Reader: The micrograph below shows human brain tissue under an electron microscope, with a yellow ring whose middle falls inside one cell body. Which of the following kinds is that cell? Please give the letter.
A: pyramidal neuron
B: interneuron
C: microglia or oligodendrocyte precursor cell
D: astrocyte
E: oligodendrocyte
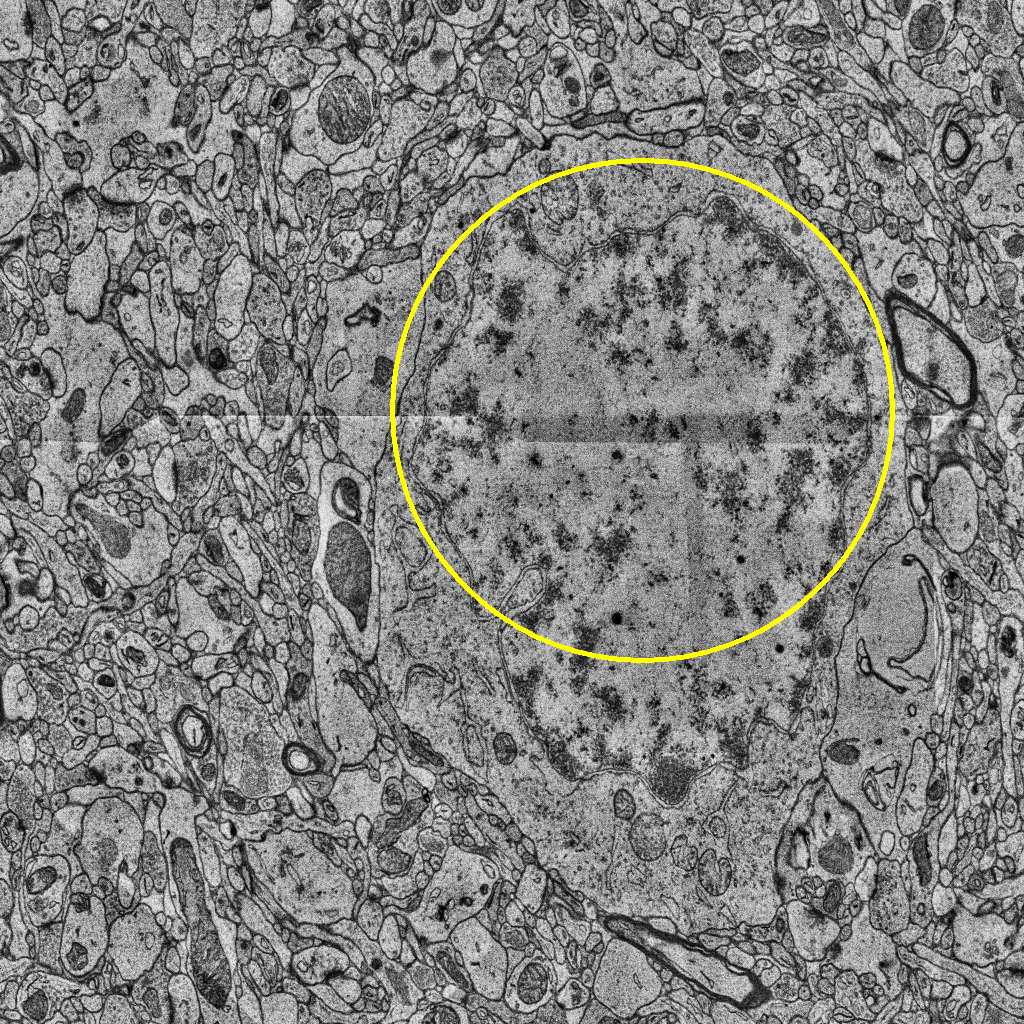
B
